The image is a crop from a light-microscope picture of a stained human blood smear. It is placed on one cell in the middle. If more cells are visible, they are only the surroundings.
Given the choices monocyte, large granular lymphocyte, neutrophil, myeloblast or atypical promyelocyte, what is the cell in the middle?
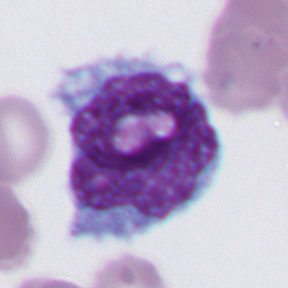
monocyte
